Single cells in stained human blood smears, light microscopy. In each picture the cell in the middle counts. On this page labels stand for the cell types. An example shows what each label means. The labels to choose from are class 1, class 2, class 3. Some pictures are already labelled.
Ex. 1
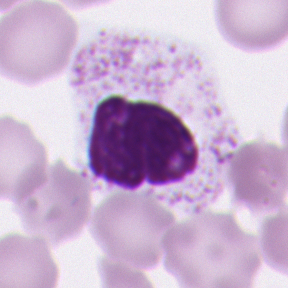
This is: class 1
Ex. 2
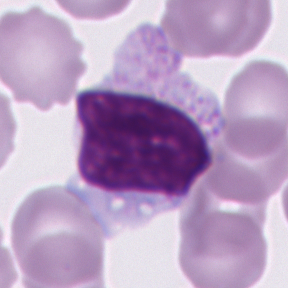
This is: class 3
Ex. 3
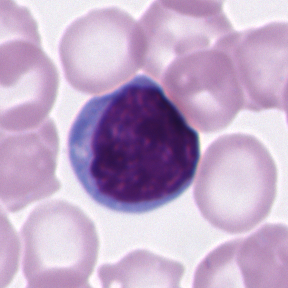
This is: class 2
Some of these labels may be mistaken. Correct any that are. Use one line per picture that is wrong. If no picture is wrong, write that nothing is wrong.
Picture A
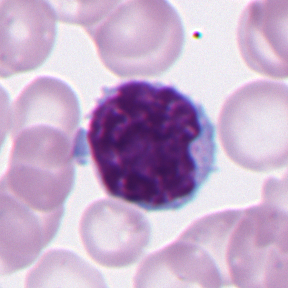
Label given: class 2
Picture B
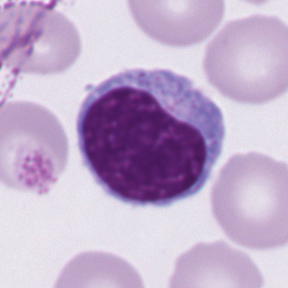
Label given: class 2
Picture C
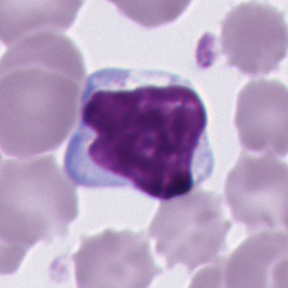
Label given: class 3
C should be class 2, not class 3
